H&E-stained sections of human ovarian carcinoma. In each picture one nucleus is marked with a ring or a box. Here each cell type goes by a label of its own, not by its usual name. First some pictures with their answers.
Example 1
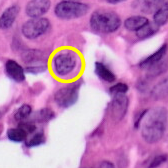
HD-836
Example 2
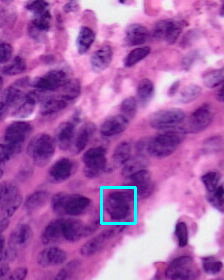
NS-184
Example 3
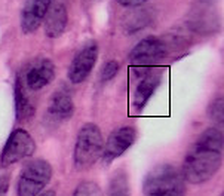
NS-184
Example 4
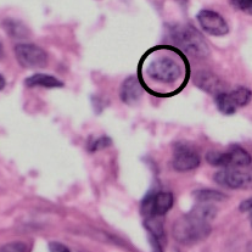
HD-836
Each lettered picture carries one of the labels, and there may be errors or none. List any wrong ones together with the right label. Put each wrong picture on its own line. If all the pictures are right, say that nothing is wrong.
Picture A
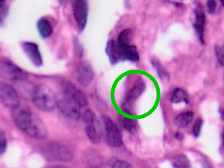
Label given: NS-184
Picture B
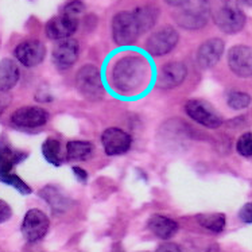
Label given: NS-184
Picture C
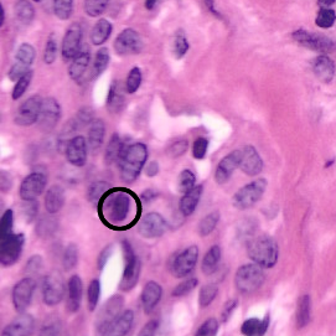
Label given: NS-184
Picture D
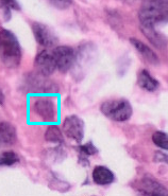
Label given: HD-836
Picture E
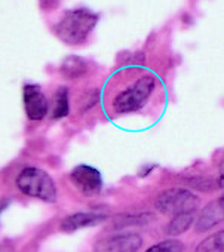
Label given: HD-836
Wrong: D (HD-836); correct: NS-184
